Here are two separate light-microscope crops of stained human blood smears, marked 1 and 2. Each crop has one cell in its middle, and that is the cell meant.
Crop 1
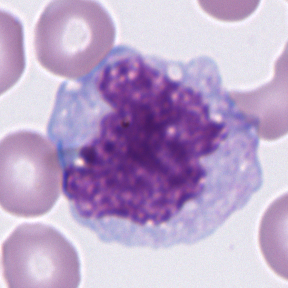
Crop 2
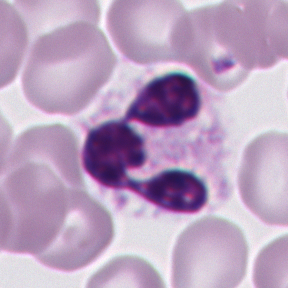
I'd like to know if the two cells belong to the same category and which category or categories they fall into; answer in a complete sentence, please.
No, sorry, crop 1 shows a monocyte and crop 2 shows a segmented neutrophil.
